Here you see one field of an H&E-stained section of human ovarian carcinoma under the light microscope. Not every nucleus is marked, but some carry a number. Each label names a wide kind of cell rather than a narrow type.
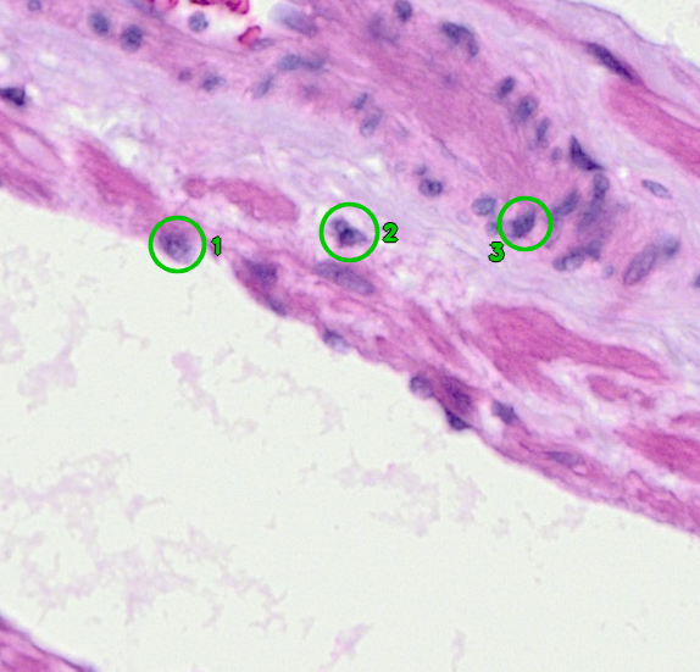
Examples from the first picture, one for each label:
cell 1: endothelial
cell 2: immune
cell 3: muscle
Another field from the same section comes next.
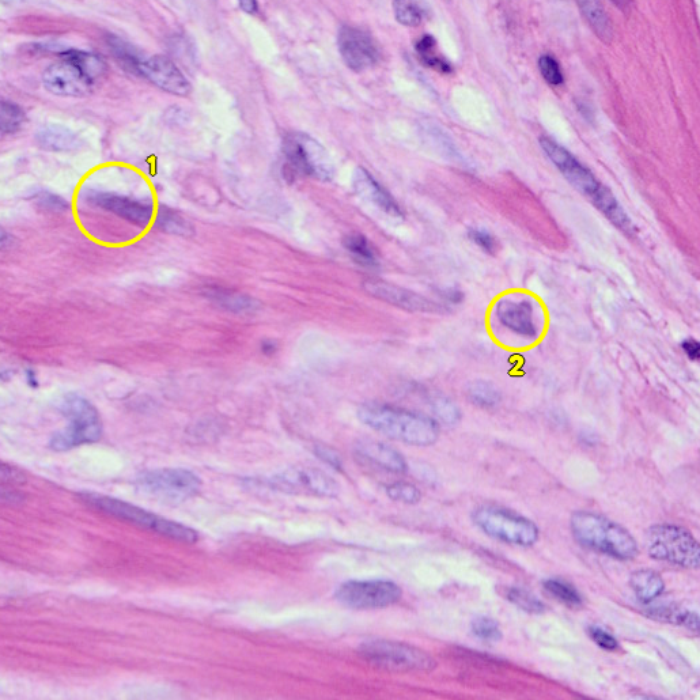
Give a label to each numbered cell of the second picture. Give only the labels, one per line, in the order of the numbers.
muscle
immune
